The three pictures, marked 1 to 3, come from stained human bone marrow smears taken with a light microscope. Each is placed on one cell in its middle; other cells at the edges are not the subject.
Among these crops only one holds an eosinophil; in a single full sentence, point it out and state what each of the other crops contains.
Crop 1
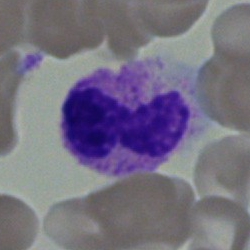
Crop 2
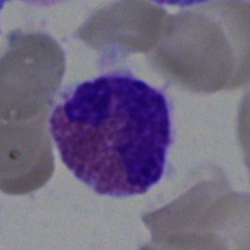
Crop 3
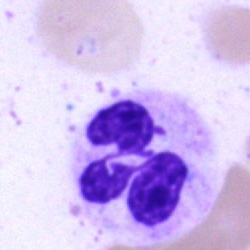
Summary: crop 2 shows an eosinophil, while crop 1 is a band neutrophil and crop 3 is a segmented neutrophil.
